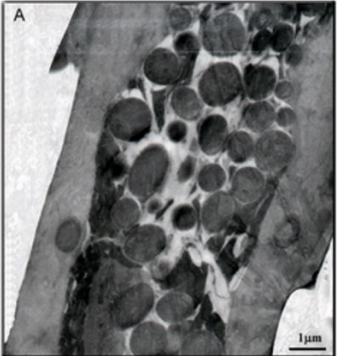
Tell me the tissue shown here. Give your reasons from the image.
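A long band of homogeneous grey material crosses the field. Many dense oval granules are packed within a core of the band. That points to this answer: hair shaft.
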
